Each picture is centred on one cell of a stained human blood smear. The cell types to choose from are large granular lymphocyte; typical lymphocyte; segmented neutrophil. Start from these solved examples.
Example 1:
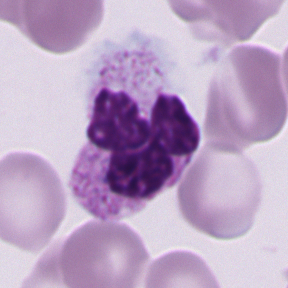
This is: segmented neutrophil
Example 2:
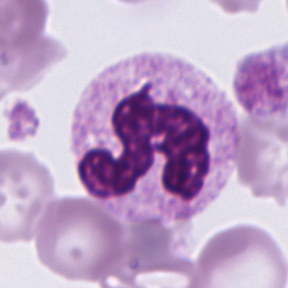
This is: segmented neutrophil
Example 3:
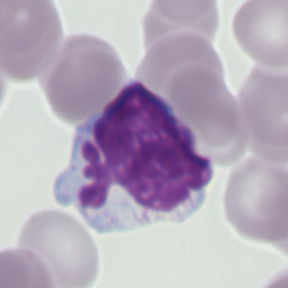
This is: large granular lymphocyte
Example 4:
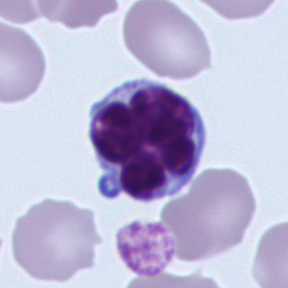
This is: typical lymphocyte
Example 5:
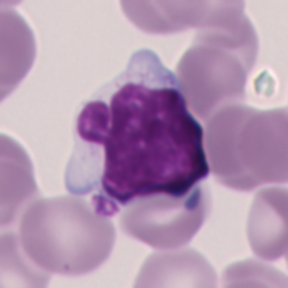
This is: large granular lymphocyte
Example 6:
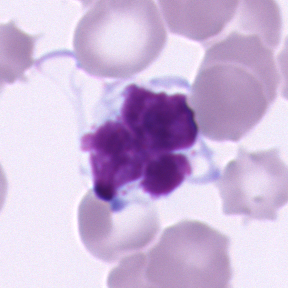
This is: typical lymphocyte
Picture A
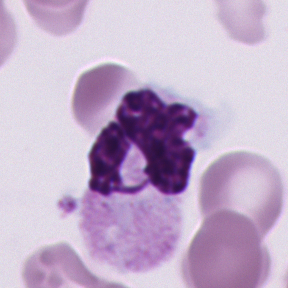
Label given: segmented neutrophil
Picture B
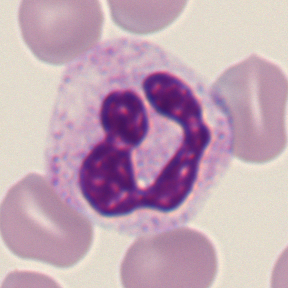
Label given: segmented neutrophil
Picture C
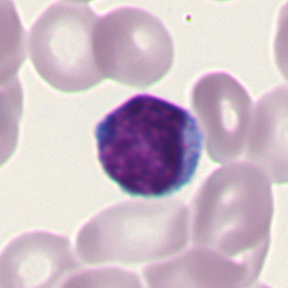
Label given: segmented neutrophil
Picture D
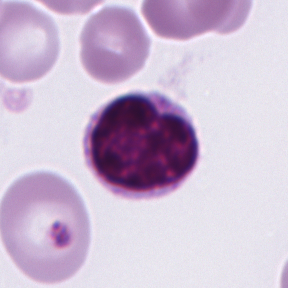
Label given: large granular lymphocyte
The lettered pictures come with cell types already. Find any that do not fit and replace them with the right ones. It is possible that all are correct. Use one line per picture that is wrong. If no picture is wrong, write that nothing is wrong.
C: change segmented neutrophil to typical lymphocyte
